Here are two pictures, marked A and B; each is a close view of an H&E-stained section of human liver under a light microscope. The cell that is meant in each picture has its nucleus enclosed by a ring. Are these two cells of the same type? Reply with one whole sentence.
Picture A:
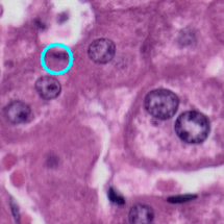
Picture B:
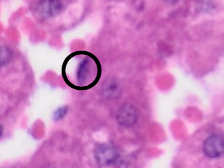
Yes, both cells are “fibroblasts or stellate cells”.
